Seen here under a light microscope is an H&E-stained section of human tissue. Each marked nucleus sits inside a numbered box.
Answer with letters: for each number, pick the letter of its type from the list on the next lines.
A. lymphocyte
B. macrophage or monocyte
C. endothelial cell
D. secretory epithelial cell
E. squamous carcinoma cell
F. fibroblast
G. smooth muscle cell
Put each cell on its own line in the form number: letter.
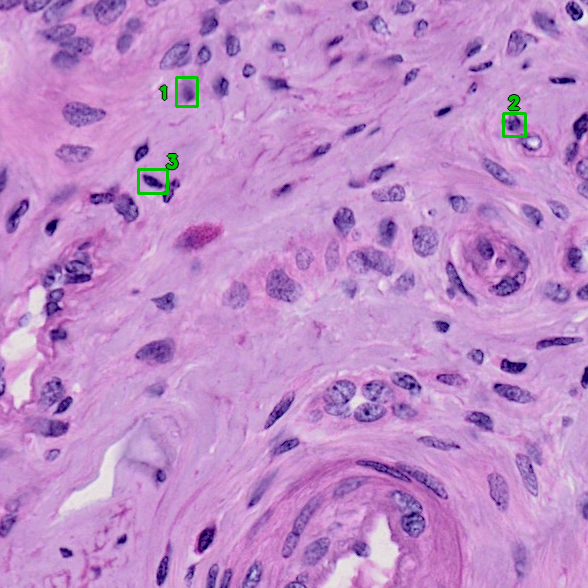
1: F
2: G
3: F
